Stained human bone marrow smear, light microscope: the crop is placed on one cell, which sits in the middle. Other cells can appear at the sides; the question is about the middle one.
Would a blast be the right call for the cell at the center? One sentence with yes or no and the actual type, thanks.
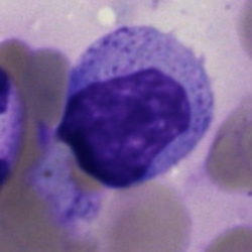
No, a blast is not what the central cell is; it is a myelocyte.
